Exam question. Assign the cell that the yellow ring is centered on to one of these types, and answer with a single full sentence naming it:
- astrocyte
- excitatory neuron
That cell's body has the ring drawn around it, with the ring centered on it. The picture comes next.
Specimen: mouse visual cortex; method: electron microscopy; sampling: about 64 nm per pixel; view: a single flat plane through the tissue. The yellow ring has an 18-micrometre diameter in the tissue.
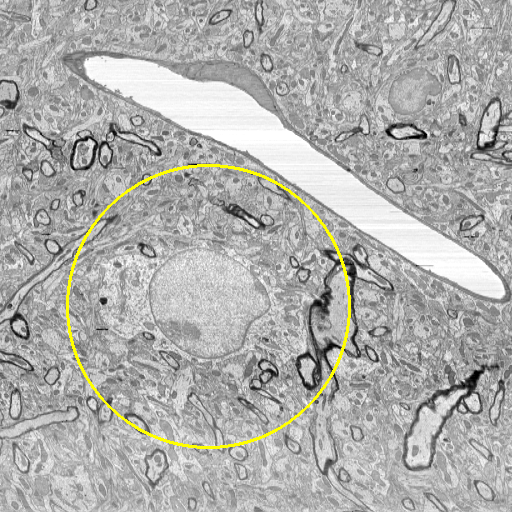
In the micrograph, the cell the yellow ring is centered on is an astrocyte.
